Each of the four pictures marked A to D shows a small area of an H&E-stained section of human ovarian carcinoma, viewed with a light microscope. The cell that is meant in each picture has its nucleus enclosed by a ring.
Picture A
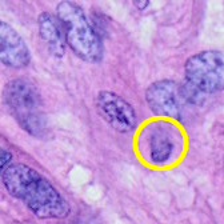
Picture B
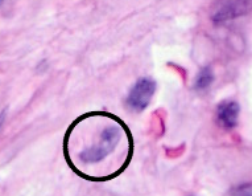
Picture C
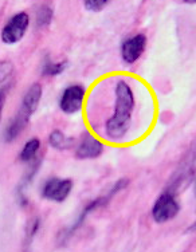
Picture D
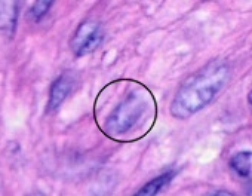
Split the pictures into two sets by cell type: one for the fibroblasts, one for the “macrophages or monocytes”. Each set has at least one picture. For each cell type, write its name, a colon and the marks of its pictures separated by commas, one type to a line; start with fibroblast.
fibroblast: D
macrophage or monocyte: A, B, C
